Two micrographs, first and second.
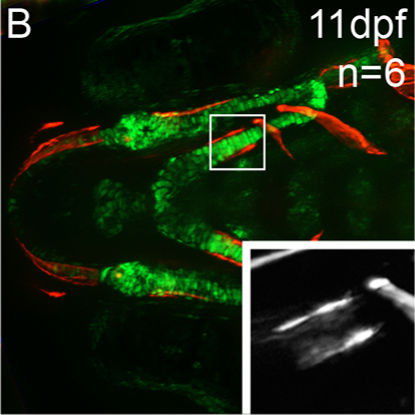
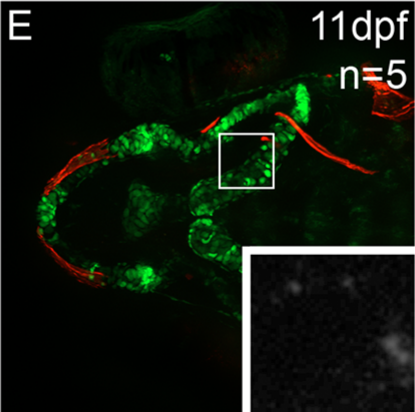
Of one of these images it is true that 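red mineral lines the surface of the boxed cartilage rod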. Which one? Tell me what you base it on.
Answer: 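The first image. Second image: the boxed cartilage shows green cells with no red streaks along it, and the inset is nearly dark. First image: red streaks run along the boxed cartilage, bright and elongated in the inset.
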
